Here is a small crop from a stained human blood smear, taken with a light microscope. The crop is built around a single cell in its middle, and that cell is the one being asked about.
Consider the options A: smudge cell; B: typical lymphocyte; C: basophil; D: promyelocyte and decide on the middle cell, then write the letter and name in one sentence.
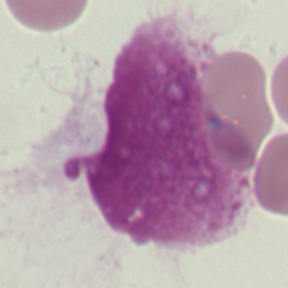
The cell in the middle is a smudge cell, and so option A is correct.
